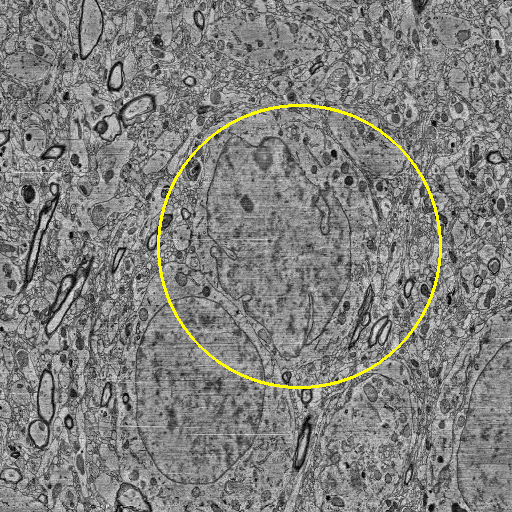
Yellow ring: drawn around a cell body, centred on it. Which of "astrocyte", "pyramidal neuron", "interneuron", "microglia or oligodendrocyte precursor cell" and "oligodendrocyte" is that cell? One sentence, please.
That cell body is from an interneuron.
